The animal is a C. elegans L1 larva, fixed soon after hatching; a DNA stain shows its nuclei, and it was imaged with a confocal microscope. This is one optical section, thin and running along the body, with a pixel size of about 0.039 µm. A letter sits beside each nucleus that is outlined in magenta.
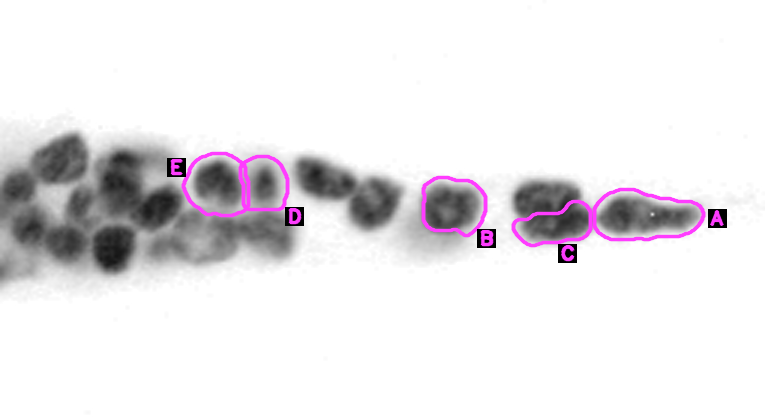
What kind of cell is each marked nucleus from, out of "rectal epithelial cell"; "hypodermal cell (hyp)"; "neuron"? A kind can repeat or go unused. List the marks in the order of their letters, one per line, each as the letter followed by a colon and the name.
A: hypodermal cell (hyp)
B: hypodermal cell (hyp)
C: hypodermal cell (hyp)
D: neuron
E: neuron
